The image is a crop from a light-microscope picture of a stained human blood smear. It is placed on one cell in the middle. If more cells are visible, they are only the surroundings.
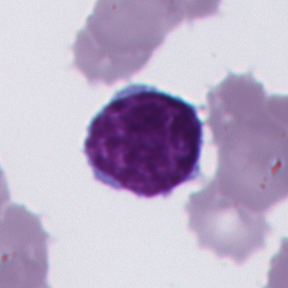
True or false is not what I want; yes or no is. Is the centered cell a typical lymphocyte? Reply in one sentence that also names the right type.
Yes, the cell in the middle is recognised as a typical lymphocyte.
